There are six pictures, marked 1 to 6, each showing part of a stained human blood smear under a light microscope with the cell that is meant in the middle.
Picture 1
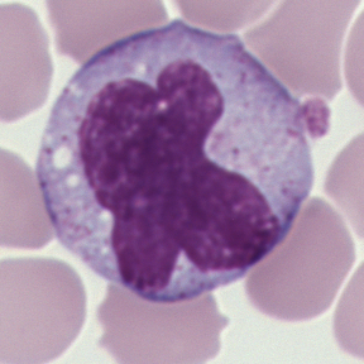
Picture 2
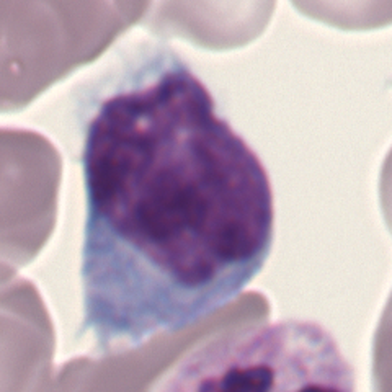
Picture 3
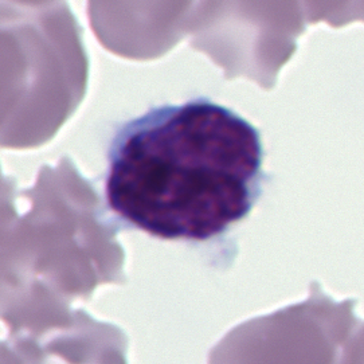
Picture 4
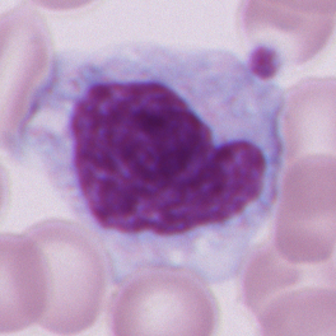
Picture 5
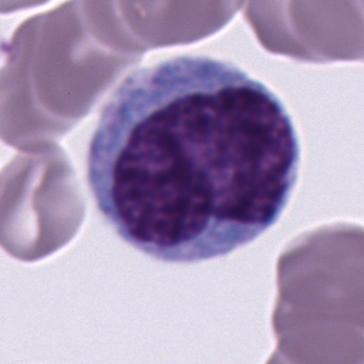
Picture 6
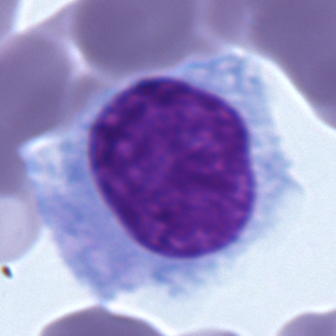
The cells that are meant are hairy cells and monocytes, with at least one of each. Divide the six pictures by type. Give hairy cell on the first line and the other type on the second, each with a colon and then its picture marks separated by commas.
hairy cell: 3, 6
monocyte: 1, 2, 4, 5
